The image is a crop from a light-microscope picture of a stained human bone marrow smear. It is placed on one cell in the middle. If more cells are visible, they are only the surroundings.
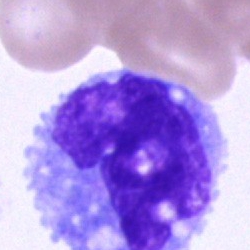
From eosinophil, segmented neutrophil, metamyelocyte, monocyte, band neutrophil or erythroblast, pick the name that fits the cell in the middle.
monocyte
